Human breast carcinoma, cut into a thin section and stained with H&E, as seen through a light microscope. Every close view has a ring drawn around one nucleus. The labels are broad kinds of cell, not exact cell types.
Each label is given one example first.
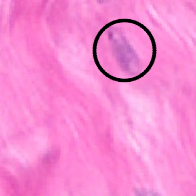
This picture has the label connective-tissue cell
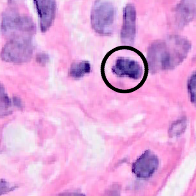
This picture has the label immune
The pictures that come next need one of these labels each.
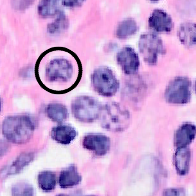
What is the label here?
immune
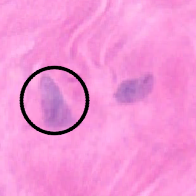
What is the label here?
connective-tissue cell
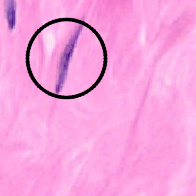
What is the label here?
connective-tissue cell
